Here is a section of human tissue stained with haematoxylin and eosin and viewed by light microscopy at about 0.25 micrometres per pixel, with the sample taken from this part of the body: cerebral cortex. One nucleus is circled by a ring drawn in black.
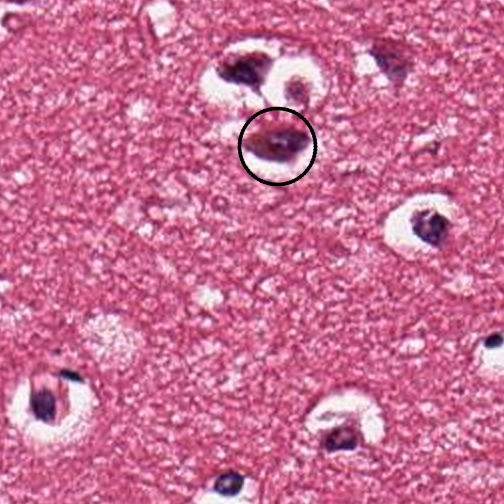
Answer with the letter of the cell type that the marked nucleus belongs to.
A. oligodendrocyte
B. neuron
B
